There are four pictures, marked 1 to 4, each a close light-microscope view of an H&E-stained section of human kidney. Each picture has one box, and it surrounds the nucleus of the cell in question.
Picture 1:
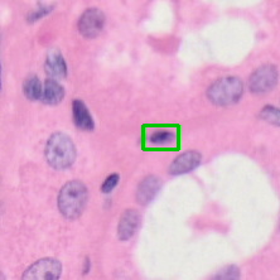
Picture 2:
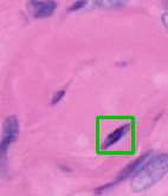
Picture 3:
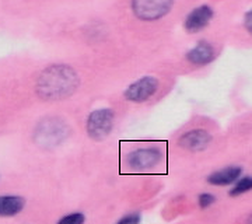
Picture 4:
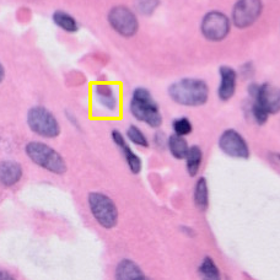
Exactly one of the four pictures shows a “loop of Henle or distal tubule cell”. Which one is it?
3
